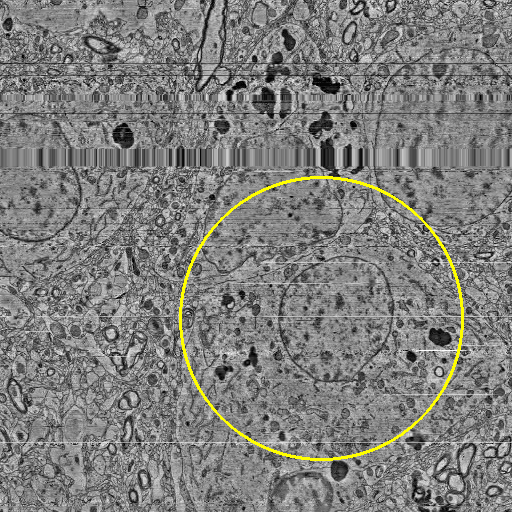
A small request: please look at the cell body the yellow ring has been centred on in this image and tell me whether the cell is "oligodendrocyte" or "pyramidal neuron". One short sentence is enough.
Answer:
The cell marked by the ring is a pyramidal neuron.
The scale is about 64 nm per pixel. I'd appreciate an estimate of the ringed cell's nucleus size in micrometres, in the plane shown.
About 9 by 7 micrometers for the nucleus, in this plane.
